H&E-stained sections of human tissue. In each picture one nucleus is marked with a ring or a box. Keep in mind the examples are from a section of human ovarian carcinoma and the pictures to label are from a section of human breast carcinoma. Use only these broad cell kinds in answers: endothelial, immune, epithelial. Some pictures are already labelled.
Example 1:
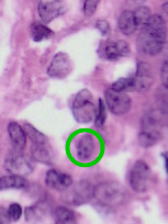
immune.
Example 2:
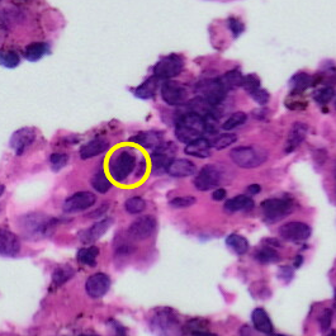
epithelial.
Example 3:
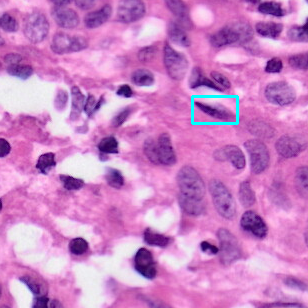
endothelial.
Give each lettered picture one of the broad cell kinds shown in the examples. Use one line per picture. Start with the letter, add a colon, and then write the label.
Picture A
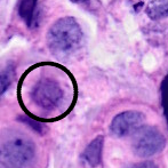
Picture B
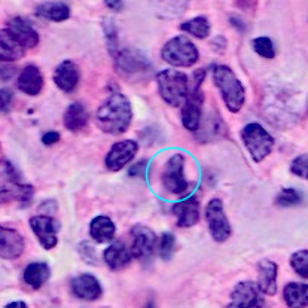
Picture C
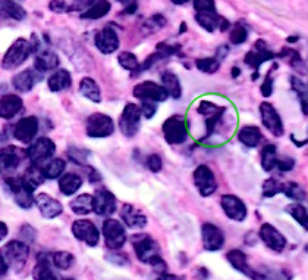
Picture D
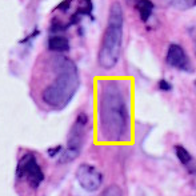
A: epithelial.
B: immune.
C: immune.
D: endothelial.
